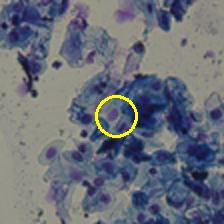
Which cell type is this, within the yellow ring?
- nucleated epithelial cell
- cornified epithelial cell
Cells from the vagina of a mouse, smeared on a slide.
Within the ring is a nucleated epithelial cell.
